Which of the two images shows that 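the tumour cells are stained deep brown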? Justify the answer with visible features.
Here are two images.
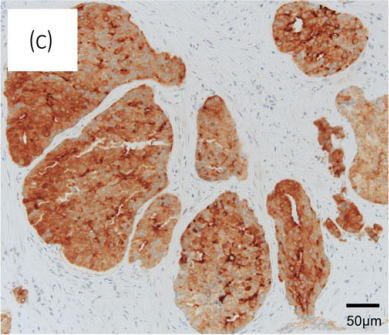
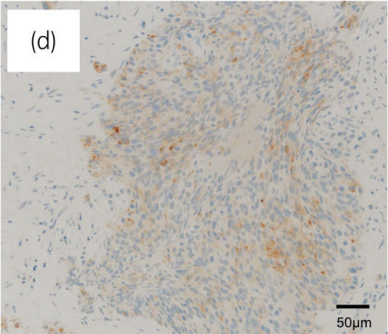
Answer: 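Second image: tumour cells mostly blue with only faint patchy brown tint.
The first image.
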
